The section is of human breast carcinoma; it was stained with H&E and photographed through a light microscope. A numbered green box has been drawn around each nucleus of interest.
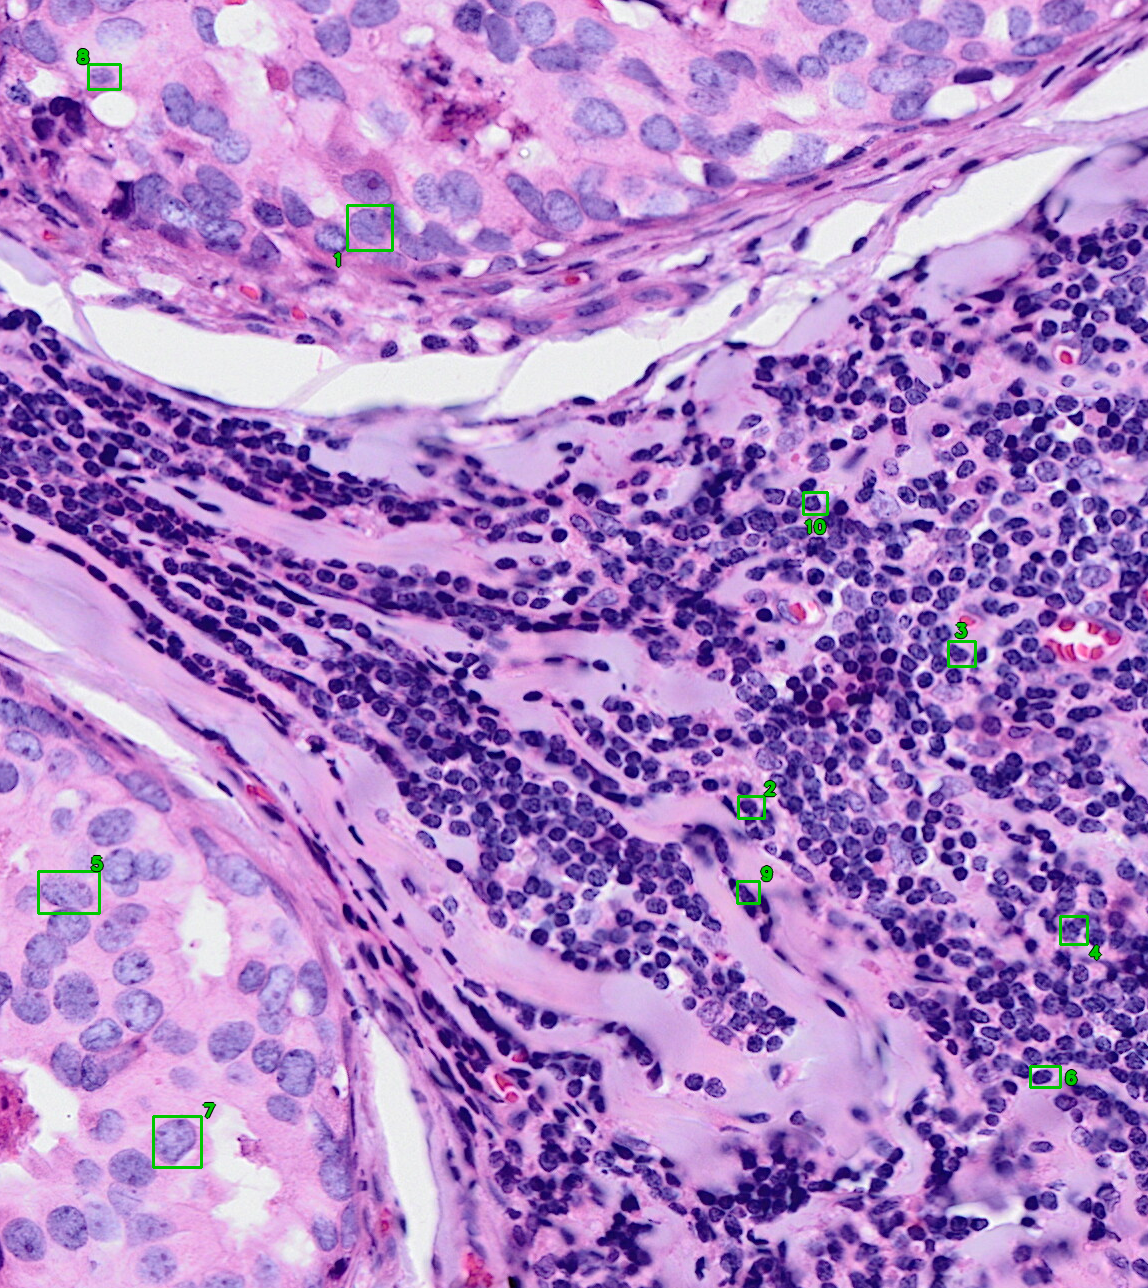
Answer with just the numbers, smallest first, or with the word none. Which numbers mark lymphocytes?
2, 3, 4, 6, 9, 10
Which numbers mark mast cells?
none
